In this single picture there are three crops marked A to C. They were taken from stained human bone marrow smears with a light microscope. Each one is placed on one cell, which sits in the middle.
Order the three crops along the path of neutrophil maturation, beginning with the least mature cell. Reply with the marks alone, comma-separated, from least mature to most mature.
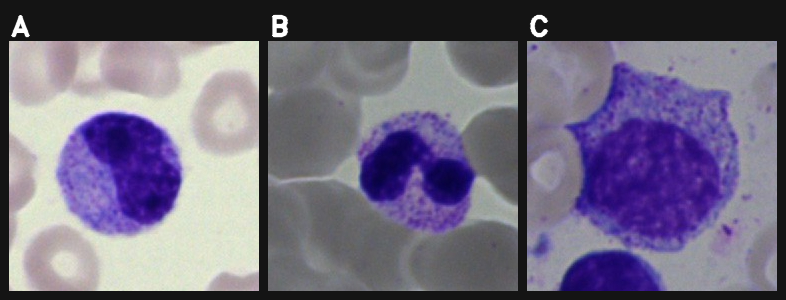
C, A, B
